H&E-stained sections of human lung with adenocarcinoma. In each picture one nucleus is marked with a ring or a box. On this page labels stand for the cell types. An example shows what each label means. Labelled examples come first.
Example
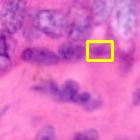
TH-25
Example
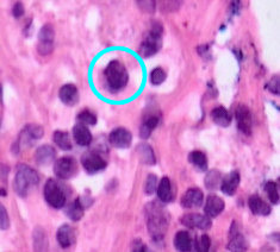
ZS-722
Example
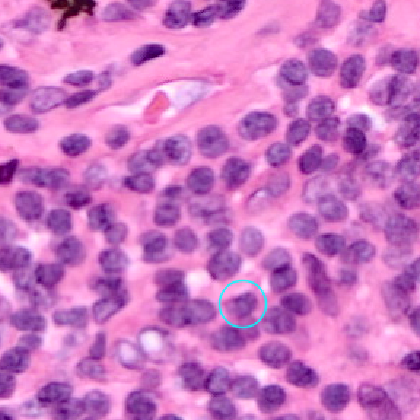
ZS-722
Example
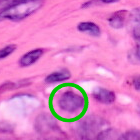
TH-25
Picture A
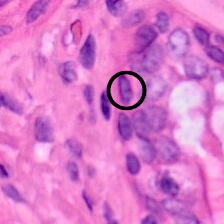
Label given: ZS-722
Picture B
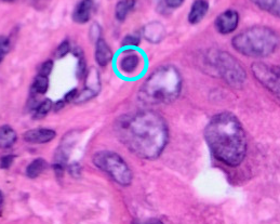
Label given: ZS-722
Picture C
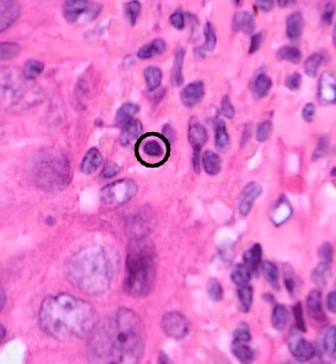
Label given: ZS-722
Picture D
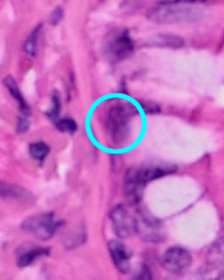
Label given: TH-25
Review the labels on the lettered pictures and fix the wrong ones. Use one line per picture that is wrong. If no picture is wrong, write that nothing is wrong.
A should be TH-25, not ZS-722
